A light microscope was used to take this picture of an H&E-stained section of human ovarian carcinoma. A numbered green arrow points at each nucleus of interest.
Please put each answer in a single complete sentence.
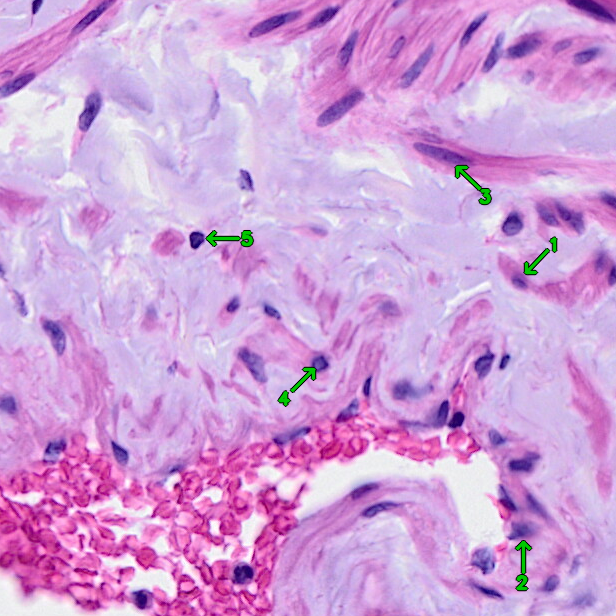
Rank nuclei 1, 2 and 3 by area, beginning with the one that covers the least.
By area, going up from the smallest, they rank 1, 2, 3.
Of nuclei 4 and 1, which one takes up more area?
Nucleus 4 is larger, with an area about 1.5 times that of nucleus 1.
